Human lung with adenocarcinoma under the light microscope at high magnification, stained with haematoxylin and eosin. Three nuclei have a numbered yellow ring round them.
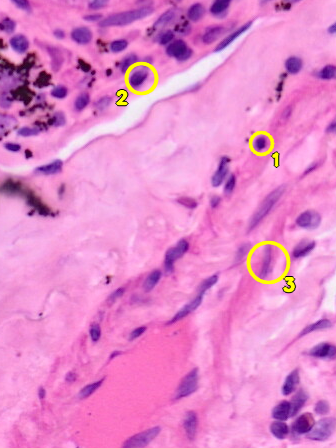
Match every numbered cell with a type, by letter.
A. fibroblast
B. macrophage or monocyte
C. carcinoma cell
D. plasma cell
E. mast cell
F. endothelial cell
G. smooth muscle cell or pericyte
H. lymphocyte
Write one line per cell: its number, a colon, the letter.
1: G
2: H
3: G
